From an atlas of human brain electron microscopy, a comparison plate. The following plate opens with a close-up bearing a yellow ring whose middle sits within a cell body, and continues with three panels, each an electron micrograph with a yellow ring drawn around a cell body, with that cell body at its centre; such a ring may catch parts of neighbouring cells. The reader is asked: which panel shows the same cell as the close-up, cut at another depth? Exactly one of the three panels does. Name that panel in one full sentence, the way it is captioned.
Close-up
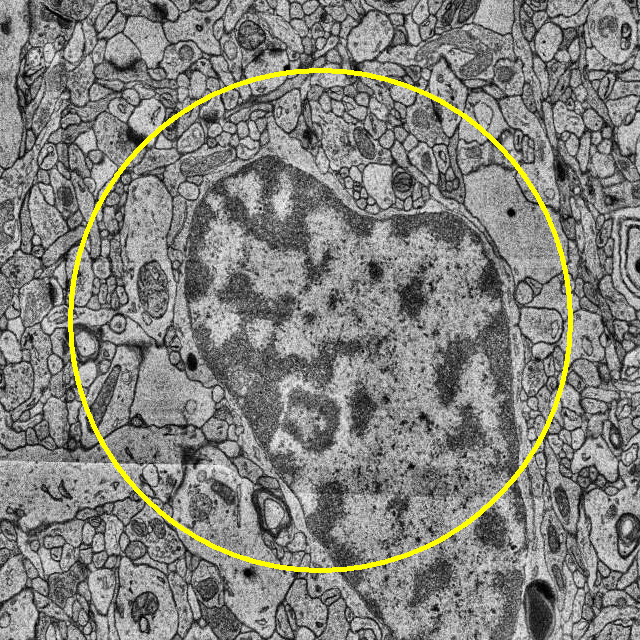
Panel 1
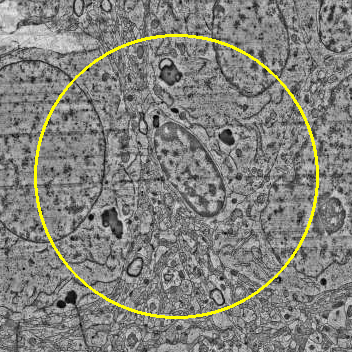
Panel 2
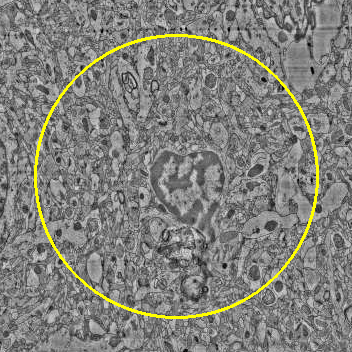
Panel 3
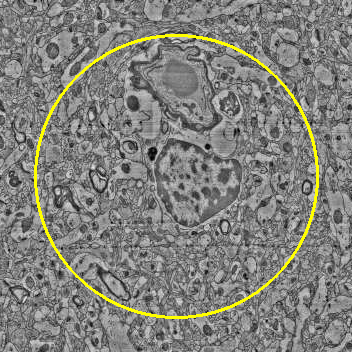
The close-up presents the same cell outlined by the ring in Panel 2.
